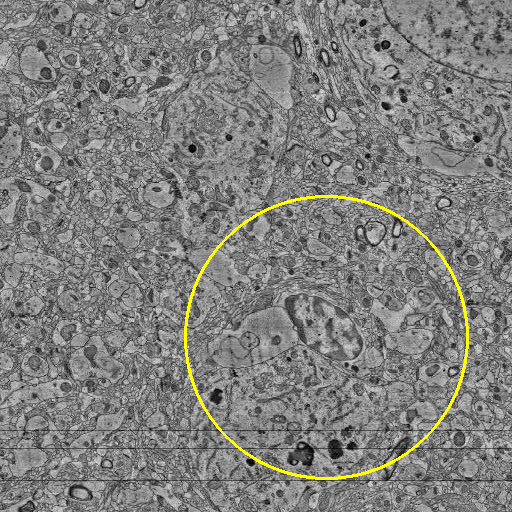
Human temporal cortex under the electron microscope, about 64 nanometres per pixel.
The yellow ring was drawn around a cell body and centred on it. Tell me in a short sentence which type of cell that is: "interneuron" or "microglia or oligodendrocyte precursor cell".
The cell at the ring's centre is a microglial cell or oligodendrocyte precursor cell.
